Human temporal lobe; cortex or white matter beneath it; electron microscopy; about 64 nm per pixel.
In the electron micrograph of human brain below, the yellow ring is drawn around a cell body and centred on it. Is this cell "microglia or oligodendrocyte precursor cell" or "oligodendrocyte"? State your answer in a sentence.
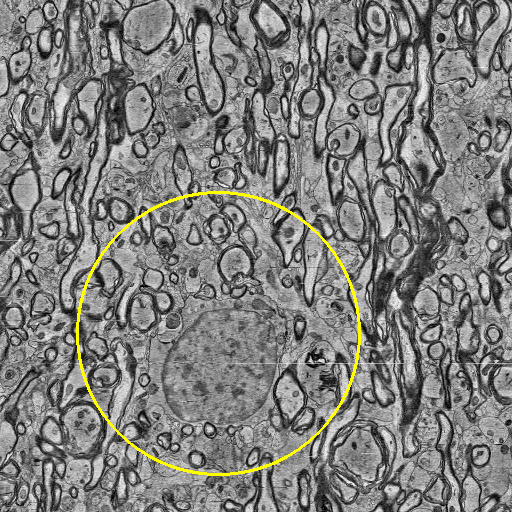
The cell in the middle of the ring is an oligodendrocyte.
